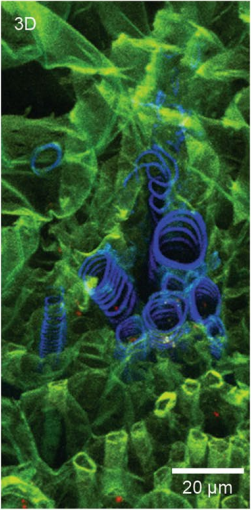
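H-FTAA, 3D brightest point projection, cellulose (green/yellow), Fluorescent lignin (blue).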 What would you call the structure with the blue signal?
cell wall thickenings of the trachea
